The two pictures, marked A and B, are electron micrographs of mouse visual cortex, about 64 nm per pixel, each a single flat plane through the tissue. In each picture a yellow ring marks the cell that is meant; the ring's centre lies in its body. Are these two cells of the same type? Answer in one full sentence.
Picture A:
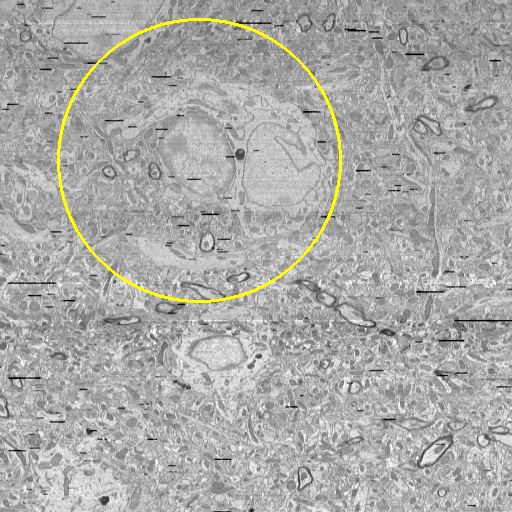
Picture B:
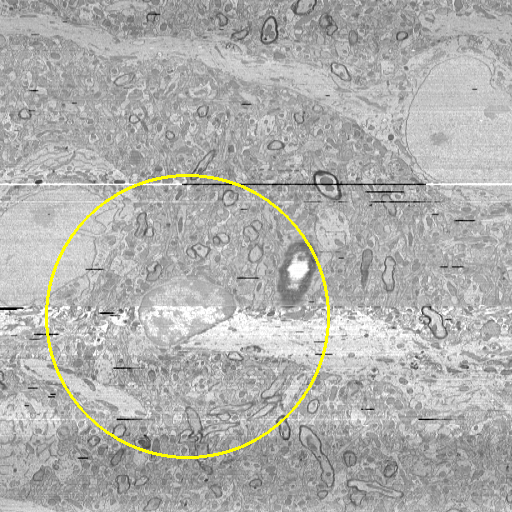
Yes; the cells in both pictures are oligodendrocytes.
